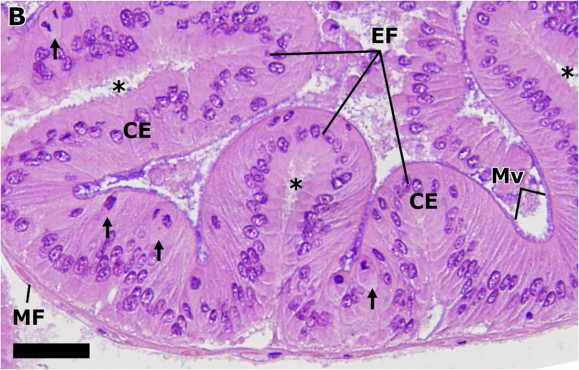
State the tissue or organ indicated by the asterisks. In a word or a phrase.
Inner layer of connective tissue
